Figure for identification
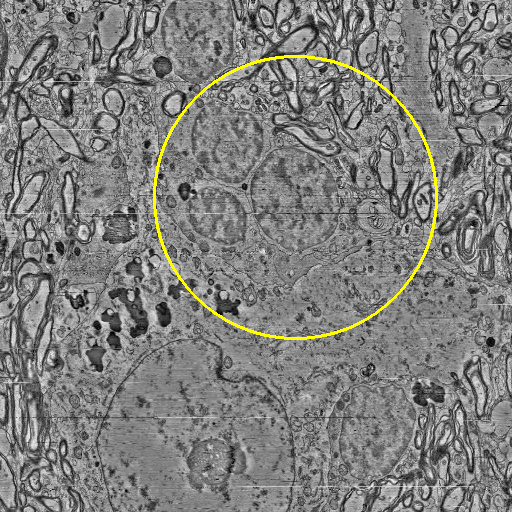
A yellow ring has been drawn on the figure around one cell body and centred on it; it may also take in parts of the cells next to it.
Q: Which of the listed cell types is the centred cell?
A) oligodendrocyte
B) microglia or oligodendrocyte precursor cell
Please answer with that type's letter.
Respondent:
A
